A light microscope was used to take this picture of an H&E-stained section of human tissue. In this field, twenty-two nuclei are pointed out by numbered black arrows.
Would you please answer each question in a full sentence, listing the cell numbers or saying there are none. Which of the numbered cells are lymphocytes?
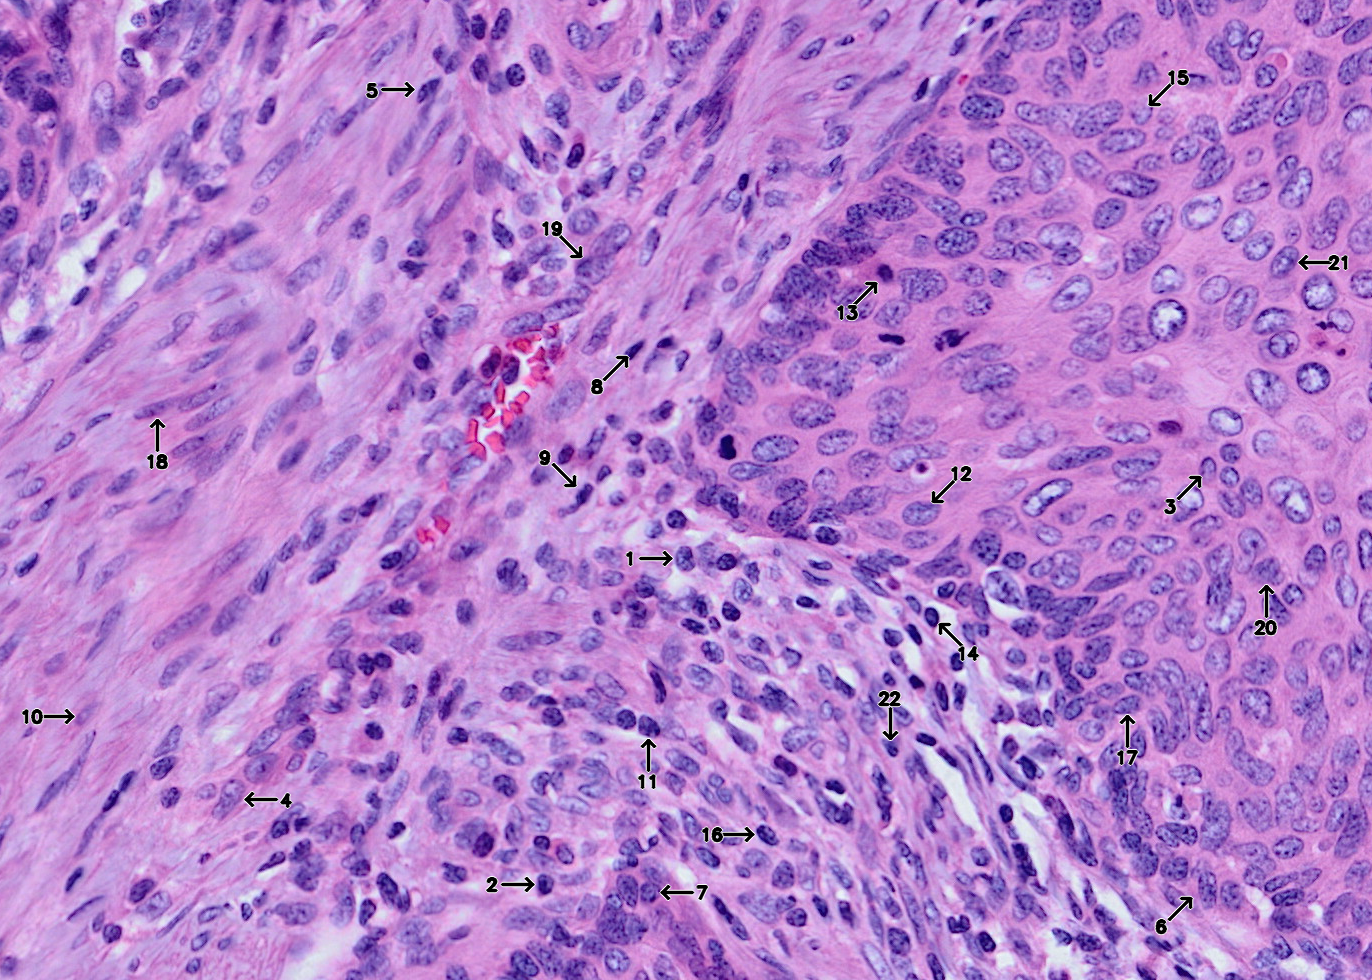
Cells 1, 2, 5, 8, 9, 11, 14, 16 and 22 are classified as lymphocytes.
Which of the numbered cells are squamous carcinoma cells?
Cells 3, 6, 7, 12, 13, 15, 17, 20 and 21 share one type; they are squamous carcinoma cells.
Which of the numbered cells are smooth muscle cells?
The cells numbered 10 and 18 are of the kind known as smooth muscle cells.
